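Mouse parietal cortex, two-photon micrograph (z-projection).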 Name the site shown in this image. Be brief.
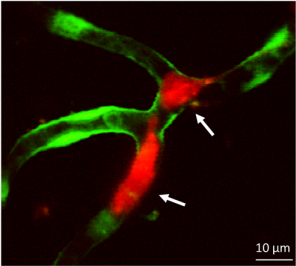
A: Vascular branching point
